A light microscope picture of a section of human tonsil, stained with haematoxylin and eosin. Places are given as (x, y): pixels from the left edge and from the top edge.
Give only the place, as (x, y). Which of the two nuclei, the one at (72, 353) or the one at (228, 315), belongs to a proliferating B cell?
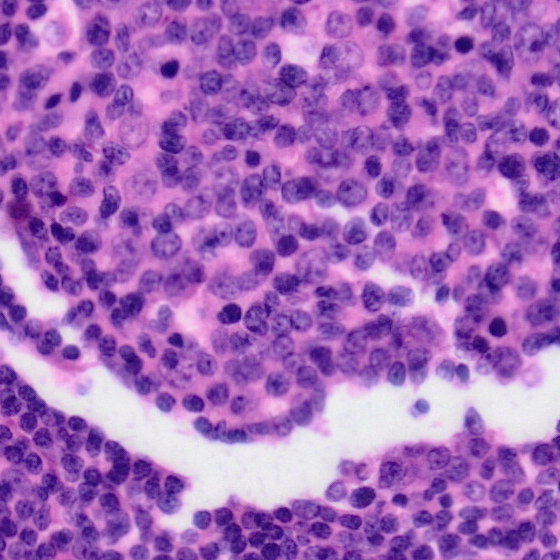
(228, 315)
